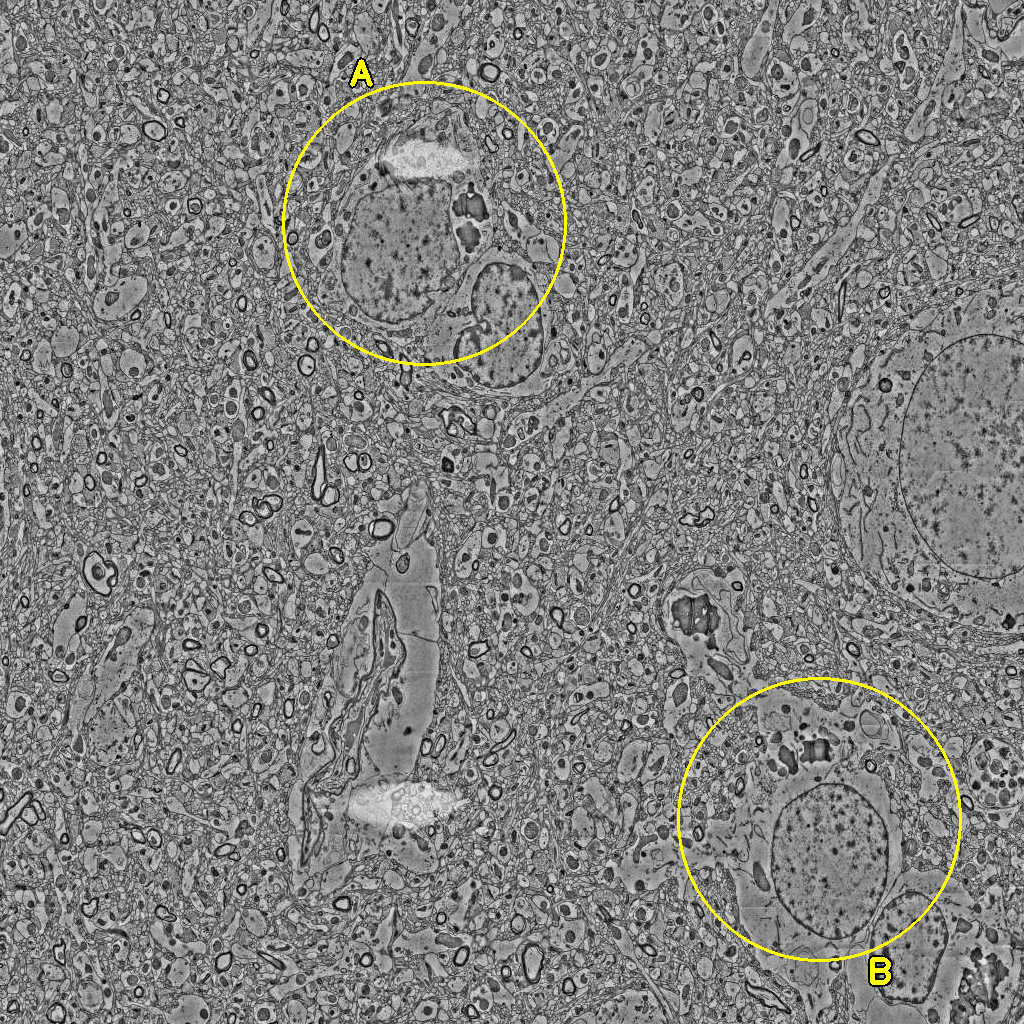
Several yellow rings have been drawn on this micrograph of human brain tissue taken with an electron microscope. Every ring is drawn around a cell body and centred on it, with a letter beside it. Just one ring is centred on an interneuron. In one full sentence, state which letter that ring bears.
At the centre of ring A is a cell of that kind.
